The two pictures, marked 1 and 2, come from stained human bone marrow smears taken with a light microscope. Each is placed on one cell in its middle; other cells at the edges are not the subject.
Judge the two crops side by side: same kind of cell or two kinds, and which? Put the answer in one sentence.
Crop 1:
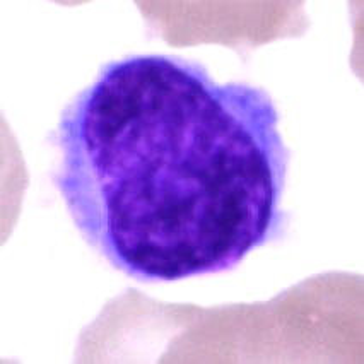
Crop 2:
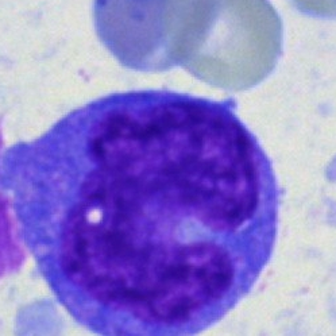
No; crop 1 is a hairy cell, while crop 2 is a monocyte.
